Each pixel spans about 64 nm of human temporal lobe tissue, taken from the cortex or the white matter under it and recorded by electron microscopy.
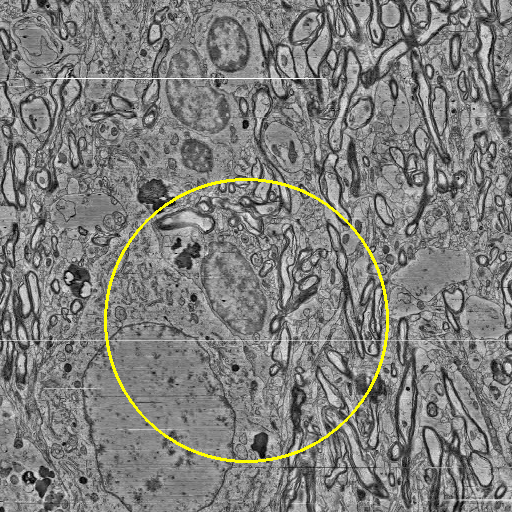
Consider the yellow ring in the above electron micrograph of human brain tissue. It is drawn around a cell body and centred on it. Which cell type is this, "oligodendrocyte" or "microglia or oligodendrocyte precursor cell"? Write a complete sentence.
The cell in question is an oligodendrocyte.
